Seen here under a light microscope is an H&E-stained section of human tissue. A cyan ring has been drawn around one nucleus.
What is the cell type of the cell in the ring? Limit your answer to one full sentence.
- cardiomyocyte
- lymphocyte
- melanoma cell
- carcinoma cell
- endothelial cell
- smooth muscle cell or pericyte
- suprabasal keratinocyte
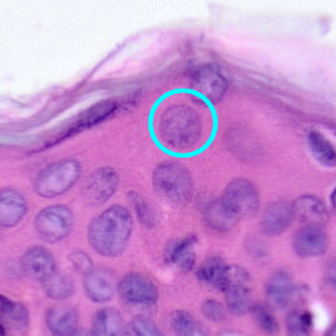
What the cell in the ring represents is a suprabasal keratinocyte.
